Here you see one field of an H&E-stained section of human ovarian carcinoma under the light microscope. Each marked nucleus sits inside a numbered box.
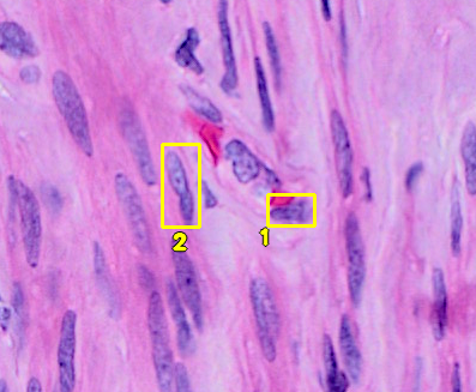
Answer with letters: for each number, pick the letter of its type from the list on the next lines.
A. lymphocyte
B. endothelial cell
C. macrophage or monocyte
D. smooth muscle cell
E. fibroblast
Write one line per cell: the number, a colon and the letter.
1: B
2: D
